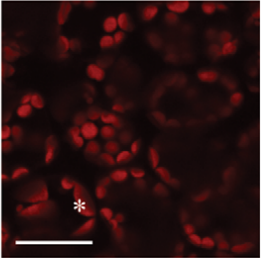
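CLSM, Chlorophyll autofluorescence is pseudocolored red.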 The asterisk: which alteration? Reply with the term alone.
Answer: Enlarged chloroplasts.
